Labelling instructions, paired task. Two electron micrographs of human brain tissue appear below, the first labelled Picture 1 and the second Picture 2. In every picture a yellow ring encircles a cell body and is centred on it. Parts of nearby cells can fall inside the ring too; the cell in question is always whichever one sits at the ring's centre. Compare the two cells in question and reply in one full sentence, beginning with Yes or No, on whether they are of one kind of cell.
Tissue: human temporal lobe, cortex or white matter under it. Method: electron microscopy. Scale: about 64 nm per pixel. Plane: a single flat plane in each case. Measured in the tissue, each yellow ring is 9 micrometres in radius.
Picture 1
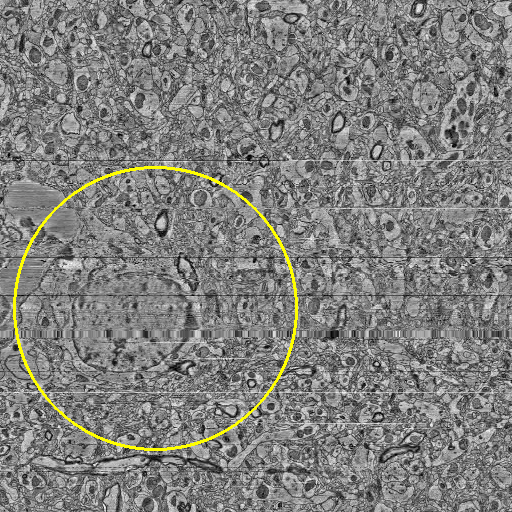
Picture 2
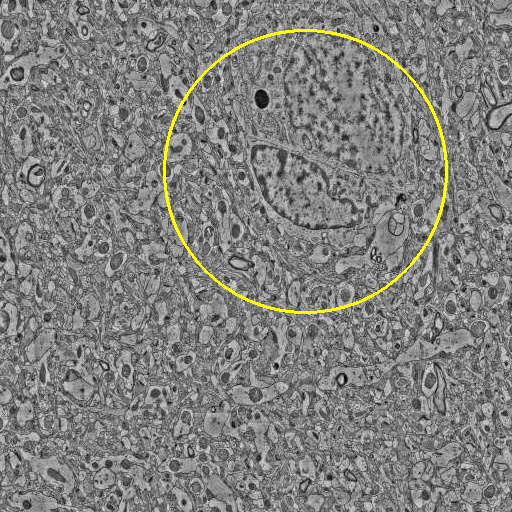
Yes, the two cells at the ring centres in Picture 1 and Picture 2 are of one kind.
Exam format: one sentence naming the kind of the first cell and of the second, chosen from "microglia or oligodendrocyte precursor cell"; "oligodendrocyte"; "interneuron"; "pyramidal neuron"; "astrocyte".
In the first picture and in the second, the ring is centred on a microglial cell or oligodendrocyte precursor cell.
